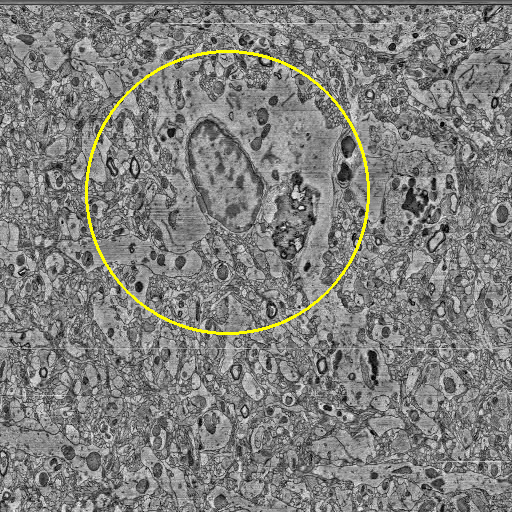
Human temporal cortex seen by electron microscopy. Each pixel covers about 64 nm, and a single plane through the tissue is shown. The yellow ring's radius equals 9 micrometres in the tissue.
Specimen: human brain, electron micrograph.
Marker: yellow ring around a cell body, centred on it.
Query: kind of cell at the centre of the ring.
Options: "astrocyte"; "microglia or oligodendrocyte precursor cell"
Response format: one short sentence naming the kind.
This cell body belongs to a microglial cell or oligodendrocyte precursor cell.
